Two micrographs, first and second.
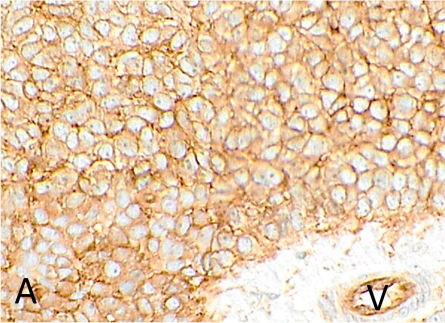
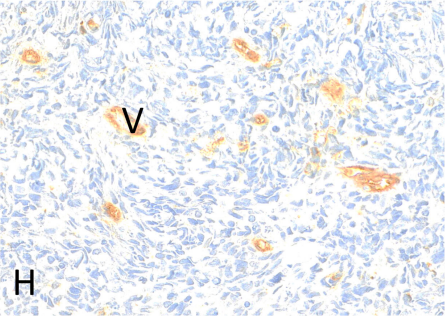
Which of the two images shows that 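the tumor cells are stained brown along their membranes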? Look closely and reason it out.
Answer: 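Second image: spindle tumor cells show only blue nuclei and pale cytoplasm; brown only at scattered vessels. First image: nearly every tumor cell is outlined by brown membrane staining.
The first image.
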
